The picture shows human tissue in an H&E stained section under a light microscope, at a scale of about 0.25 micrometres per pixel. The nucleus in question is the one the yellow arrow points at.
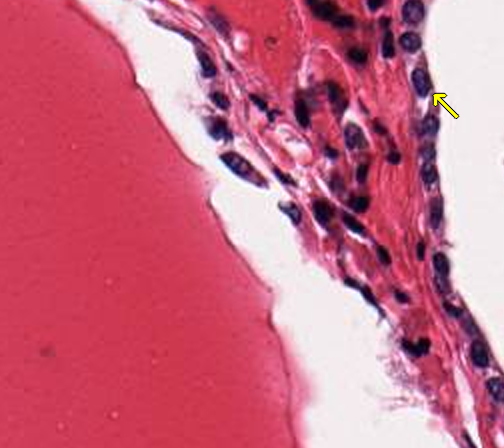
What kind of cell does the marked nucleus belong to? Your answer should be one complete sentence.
On this slide, the marked nucleus belongs to a thyroid follicular cell.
